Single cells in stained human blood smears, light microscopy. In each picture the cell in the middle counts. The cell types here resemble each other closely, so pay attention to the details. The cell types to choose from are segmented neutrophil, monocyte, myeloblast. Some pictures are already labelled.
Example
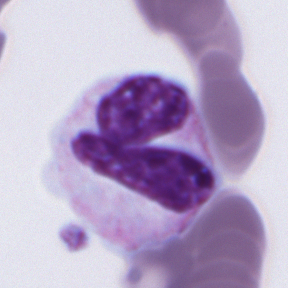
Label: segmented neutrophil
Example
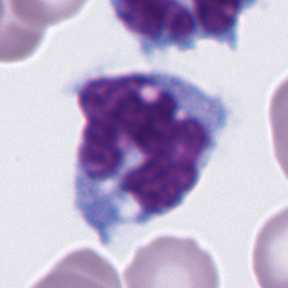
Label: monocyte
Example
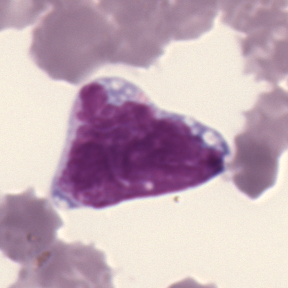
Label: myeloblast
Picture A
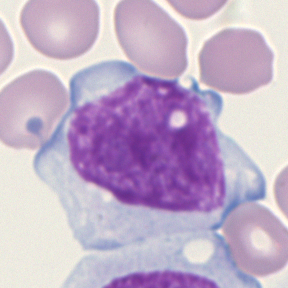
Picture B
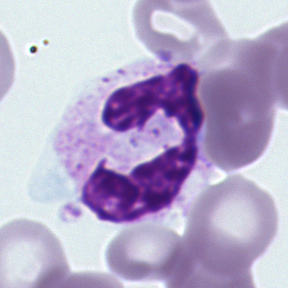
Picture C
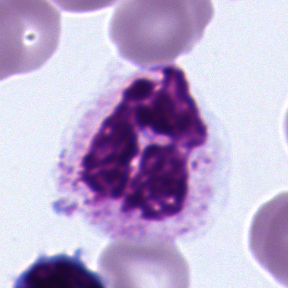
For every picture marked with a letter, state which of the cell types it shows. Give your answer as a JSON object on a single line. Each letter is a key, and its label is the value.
{"A": "myeloblast", "B": "segmented neutrophil", "C": "segmented neutrophil"}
